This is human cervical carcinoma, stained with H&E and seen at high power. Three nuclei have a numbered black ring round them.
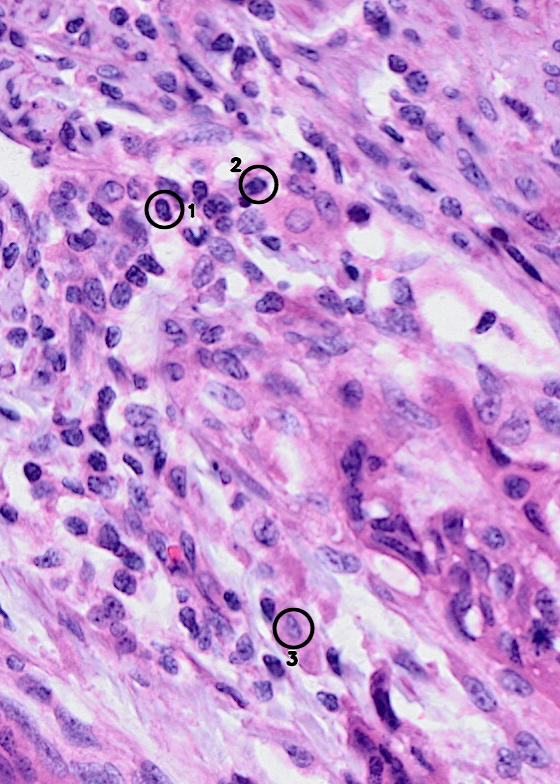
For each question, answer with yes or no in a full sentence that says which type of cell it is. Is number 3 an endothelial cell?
Yes, regarding cell number 3, it is an endothelial cell.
